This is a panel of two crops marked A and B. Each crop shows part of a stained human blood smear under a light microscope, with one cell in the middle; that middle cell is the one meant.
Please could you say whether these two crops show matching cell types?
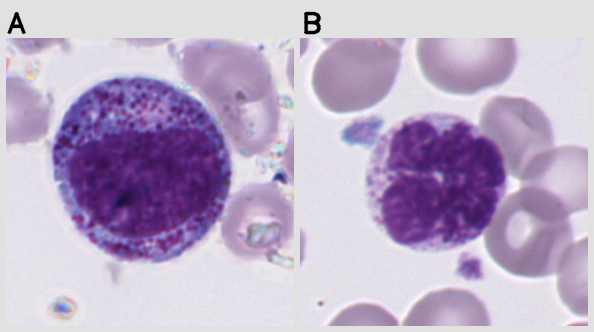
no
